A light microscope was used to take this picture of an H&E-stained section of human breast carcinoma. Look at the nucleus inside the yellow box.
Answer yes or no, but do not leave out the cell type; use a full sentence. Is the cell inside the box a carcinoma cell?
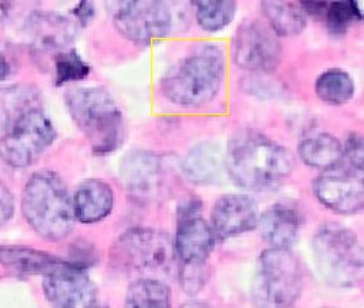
Yes, by cell type, the cell inside the box is a carcinoma cell.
